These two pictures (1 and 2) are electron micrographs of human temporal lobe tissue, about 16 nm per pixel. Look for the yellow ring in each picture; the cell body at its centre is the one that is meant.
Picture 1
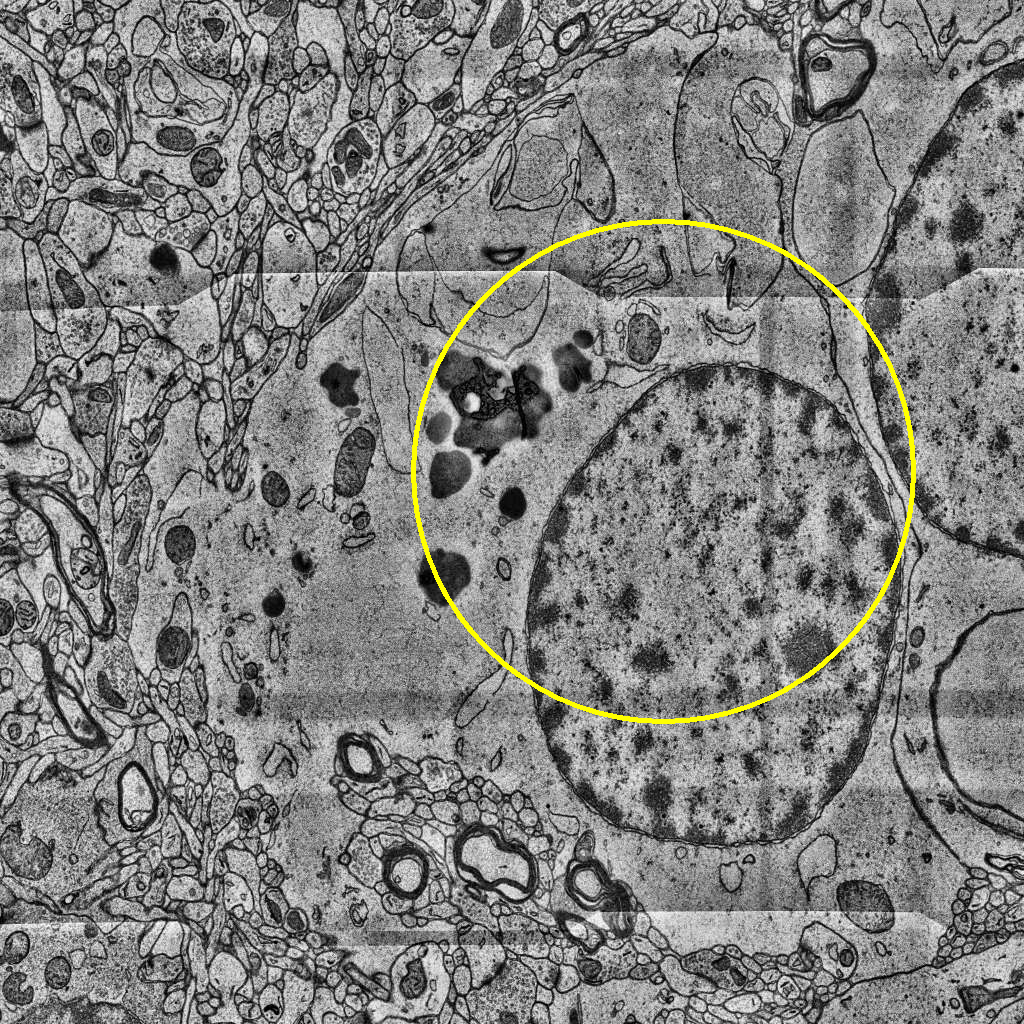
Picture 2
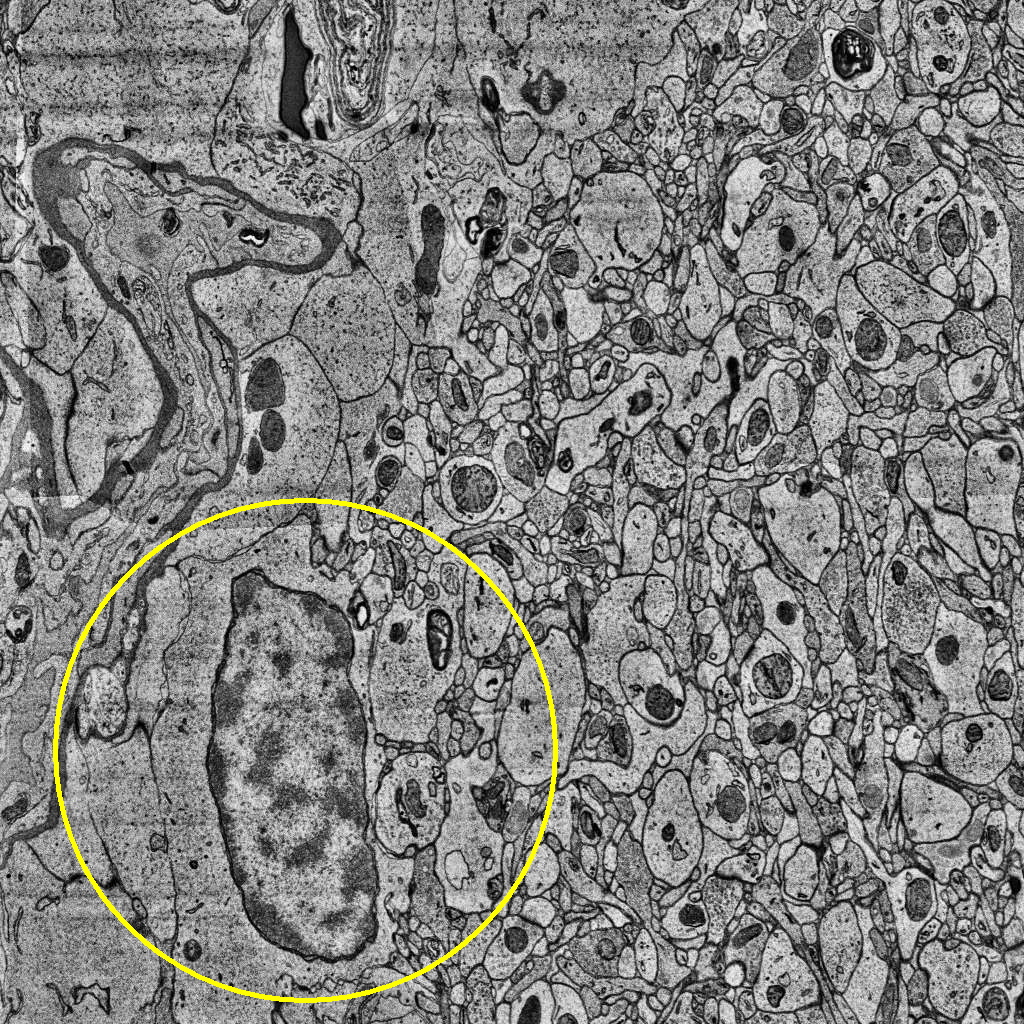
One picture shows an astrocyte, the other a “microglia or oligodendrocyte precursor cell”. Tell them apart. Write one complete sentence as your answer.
Picture 2 shows a “microglia or oligodendrocyte precursor cell”, while picture 1 shows an astrocyte.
